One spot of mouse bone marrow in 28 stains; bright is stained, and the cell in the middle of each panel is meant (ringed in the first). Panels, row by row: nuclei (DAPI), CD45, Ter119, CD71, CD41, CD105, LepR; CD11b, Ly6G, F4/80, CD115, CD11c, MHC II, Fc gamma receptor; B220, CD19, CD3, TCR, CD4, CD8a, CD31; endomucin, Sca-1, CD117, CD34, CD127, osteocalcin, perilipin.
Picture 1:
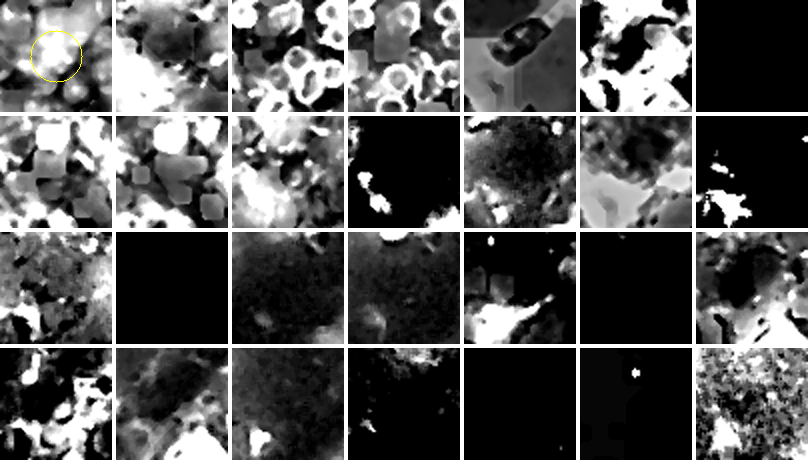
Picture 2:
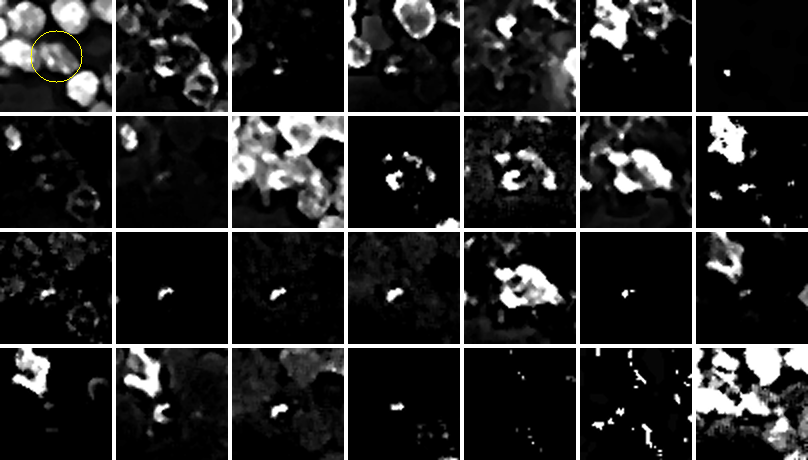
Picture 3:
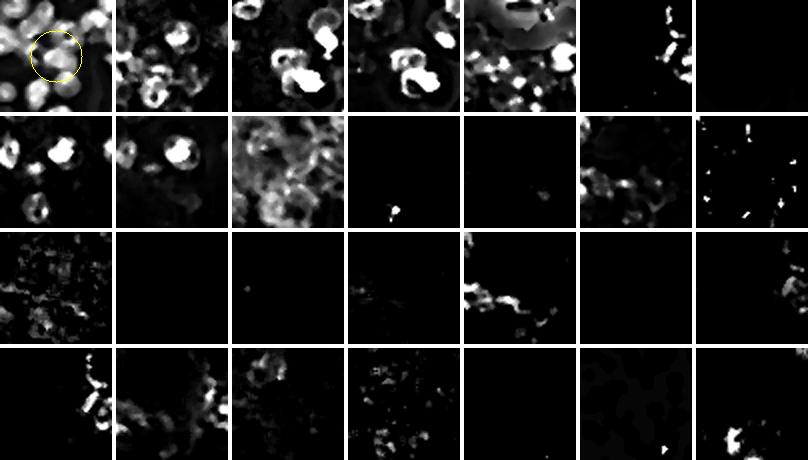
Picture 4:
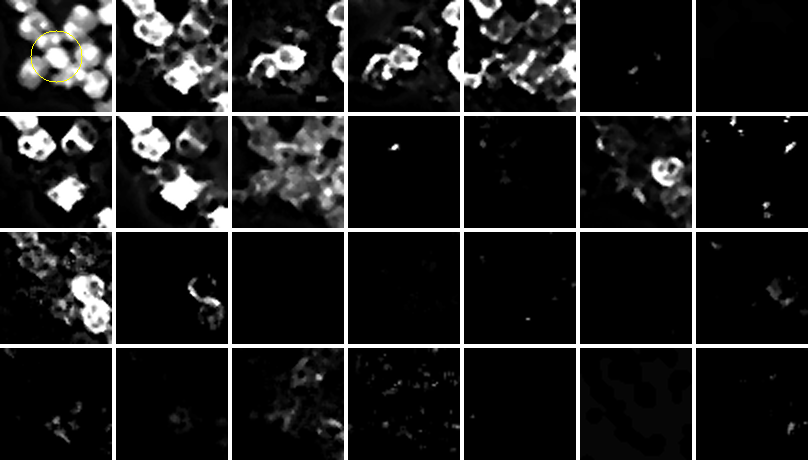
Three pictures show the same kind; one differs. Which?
Picture 2: a conventional dendritic cell, while the others are erythroblasts.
